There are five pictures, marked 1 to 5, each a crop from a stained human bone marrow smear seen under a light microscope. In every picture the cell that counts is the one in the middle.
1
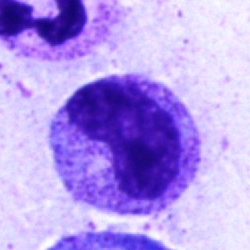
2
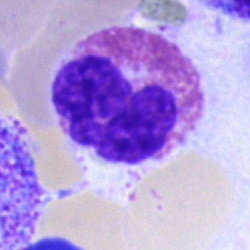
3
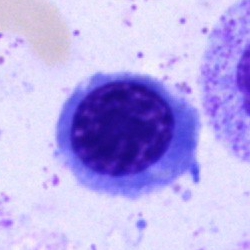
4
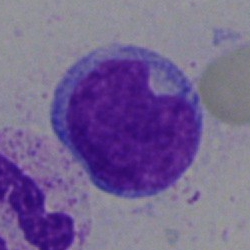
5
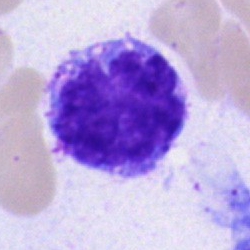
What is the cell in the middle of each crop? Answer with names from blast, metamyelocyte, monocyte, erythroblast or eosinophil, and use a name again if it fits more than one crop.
1: metamyelocyte
2: eosinophil
3: erythroblast
4: blast
5: monocyte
